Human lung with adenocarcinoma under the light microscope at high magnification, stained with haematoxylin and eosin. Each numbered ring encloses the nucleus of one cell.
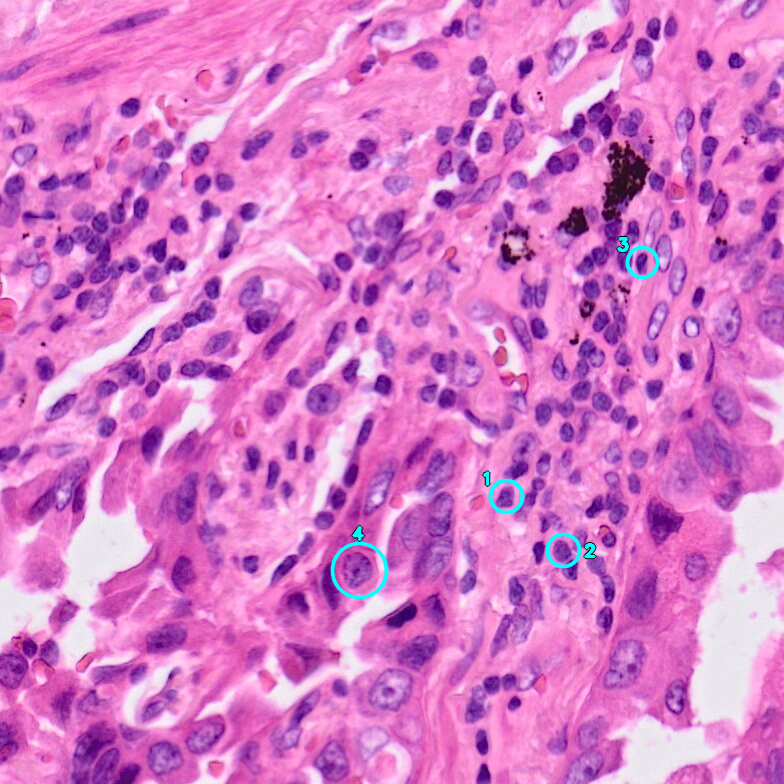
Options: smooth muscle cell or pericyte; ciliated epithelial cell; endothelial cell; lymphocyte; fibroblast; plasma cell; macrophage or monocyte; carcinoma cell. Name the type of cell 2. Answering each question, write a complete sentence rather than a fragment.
In the tissue shown, cell 2 is a lymphocyte.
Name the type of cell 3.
The cell indicated with the number 3 is classed as a lymphocyte.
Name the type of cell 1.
The cell carrying label 1 is identified as a lymphocyte.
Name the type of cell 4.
Number 4 is placed on a carcinoma cell here.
